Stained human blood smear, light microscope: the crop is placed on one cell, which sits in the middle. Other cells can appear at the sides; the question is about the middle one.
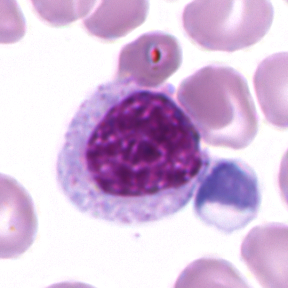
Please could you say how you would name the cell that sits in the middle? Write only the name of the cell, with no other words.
metamyelocyte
